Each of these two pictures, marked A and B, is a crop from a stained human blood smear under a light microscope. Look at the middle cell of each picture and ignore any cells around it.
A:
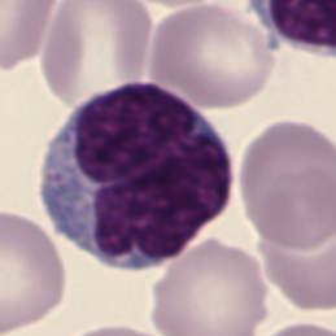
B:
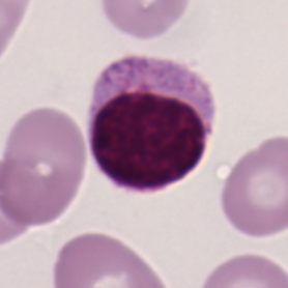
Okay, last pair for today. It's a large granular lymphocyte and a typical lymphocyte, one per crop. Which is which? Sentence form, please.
Crop A is a typical lymphocyte, and crop B is a large granular lymphocyte.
